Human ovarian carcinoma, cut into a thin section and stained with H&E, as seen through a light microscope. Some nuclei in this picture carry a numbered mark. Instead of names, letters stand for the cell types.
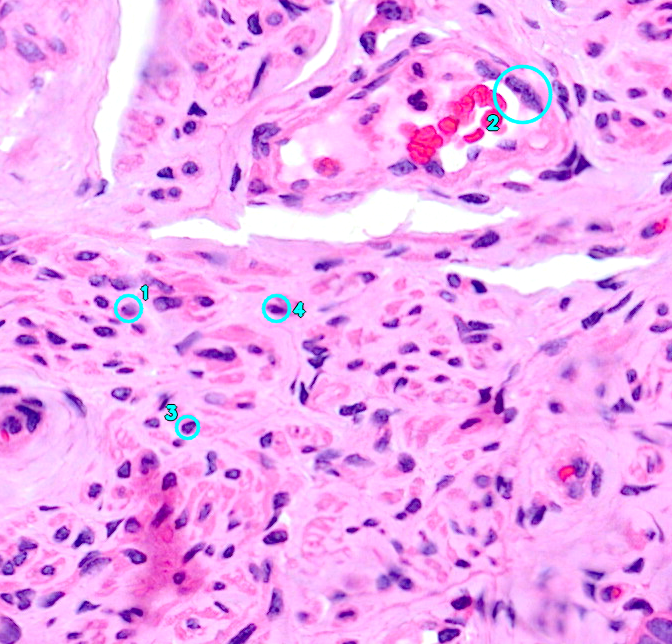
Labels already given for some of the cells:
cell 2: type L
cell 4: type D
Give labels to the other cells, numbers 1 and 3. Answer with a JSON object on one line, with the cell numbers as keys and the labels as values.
{"1": "type D", "3": "type D"}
